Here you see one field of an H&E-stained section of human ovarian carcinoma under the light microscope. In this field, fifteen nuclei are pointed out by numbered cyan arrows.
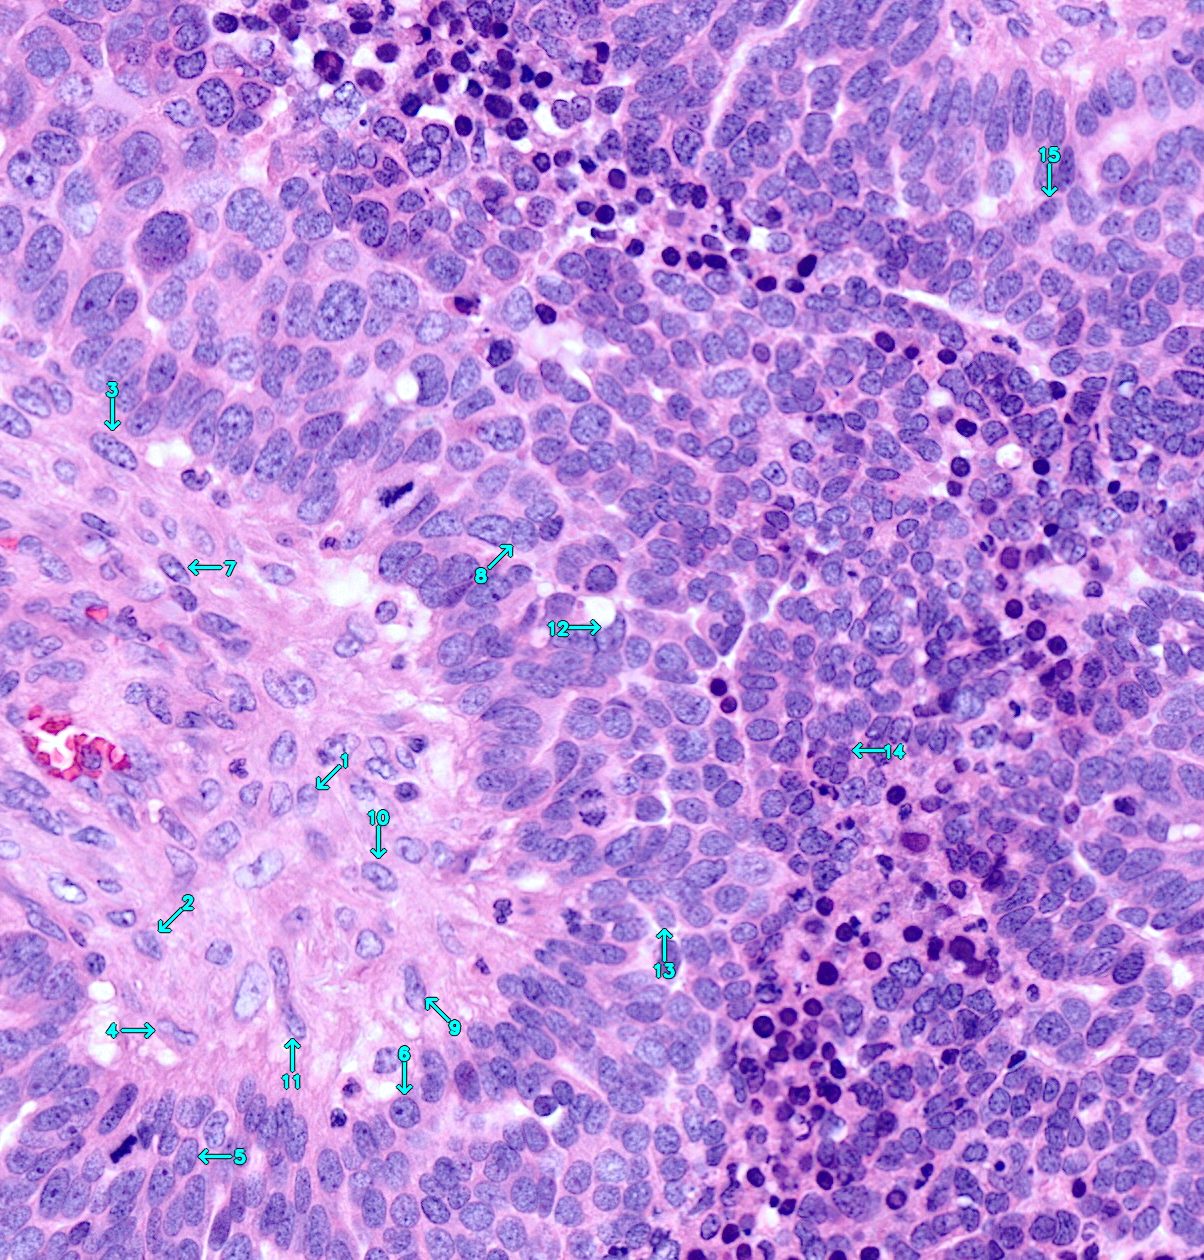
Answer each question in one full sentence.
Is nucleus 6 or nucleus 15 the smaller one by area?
Nucleus 15 is the smaller one; nucleus 6 covers about 2 times its area.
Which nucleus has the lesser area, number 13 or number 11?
It is nucleus 13; nucleus 11 has about 2 times its area.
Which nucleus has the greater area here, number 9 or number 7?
Nucleus 9 is larger, with an area about 1.5 times that of nucleus 7.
